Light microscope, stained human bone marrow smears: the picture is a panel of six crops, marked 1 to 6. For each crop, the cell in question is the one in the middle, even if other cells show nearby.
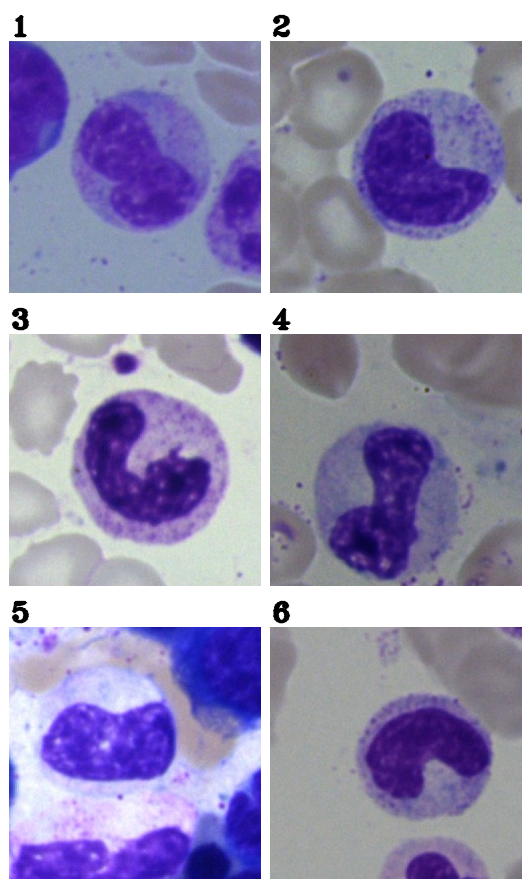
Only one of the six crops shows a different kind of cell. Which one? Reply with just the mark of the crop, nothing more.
2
